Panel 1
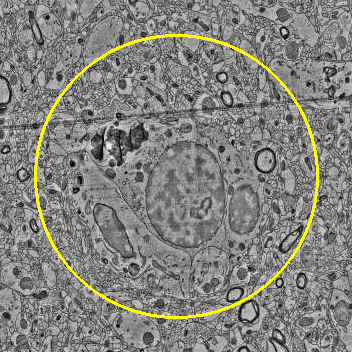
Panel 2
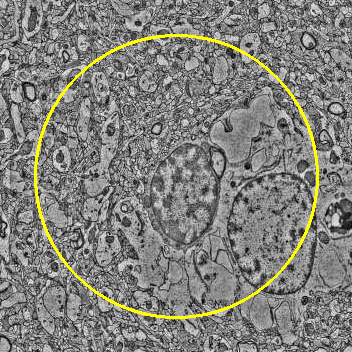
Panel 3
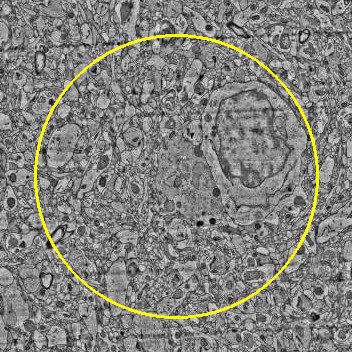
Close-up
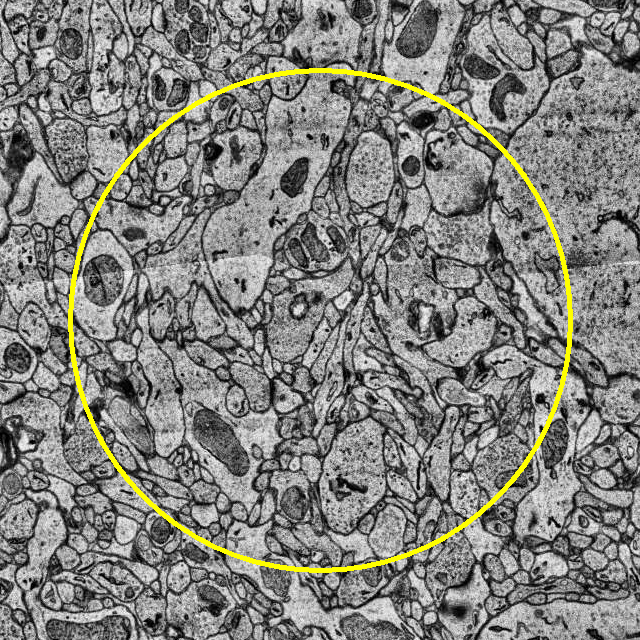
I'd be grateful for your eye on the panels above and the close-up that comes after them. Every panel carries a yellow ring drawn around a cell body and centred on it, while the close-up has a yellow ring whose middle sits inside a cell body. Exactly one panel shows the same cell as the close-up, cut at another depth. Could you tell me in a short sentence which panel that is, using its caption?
The cell of the close-up is the one in Panel 3.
